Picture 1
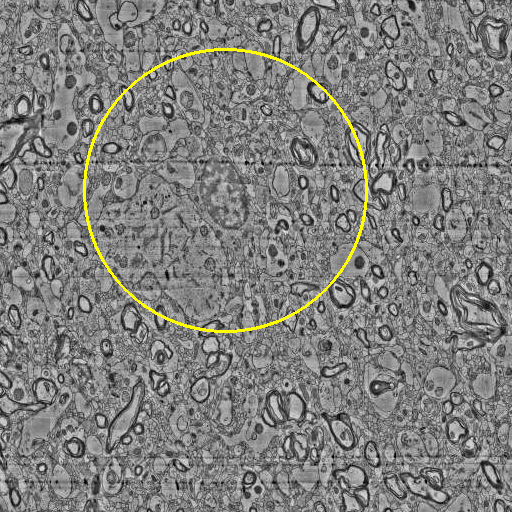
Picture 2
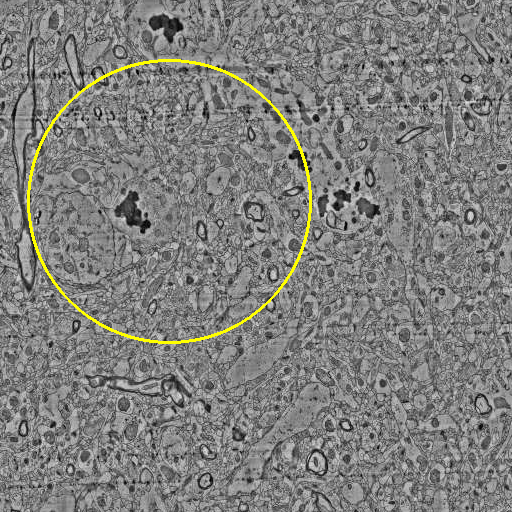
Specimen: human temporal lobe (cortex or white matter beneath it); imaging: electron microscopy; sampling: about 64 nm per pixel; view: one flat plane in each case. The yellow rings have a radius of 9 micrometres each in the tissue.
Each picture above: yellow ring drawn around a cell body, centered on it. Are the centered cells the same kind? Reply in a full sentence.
Yes, the two cells are the same kind.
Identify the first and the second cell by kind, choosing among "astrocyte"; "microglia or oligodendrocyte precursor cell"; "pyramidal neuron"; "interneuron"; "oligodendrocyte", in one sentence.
In the first picture and in the second, the ring is centred on an oligodendrocyte.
